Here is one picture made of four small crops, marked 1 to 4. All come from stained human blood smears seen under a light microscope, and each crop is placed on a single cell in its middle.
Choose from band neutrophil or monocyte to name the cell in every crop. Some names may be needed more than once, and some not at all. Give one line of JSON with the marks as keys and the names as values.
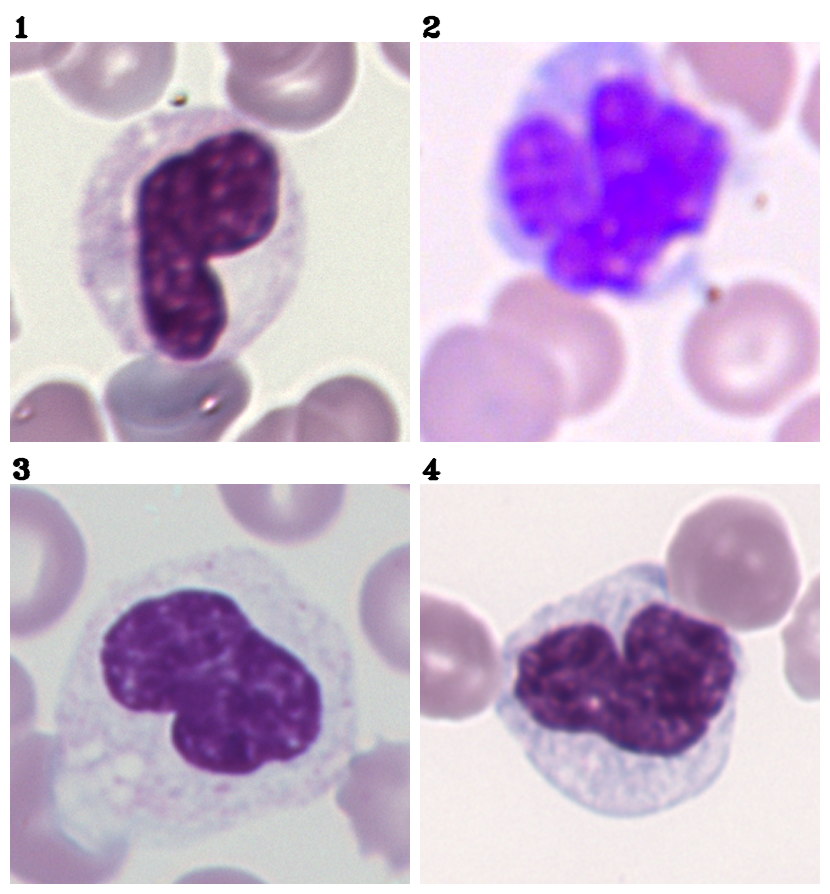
{"1": "band neutrophil", "2": "monocyte", "3": "band neutrophil", "4": "monocyte"}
